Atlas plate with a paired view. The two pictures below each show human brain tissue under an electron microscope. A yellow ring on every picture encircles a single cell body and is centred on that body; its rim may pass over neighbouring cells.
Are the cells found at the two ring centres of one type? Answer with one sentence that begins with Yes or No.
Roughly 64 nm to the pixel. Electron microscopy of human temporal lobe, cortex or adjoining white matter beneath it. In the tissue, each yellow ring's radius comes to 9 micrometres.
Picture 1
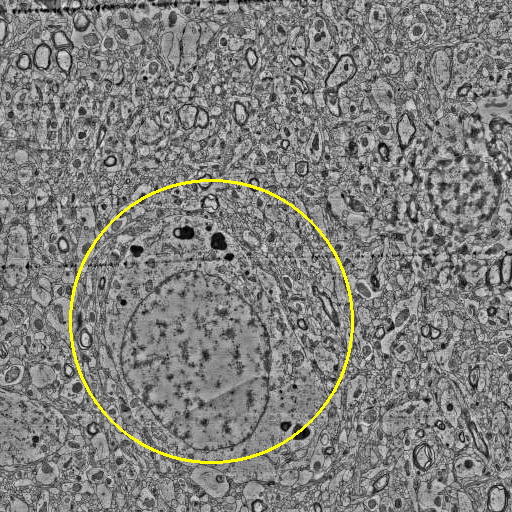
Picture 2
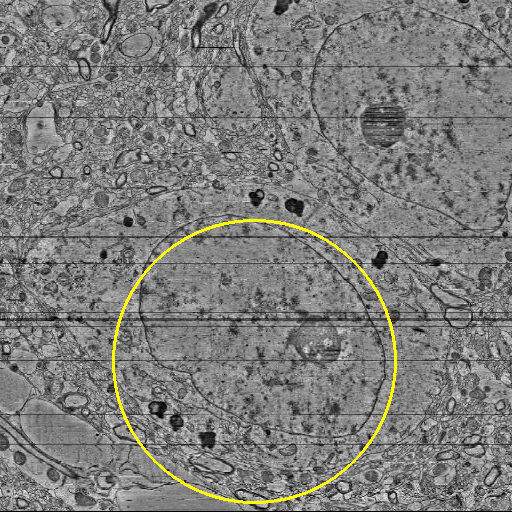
Yes, the two cells lying at the centres of the rings share a single type.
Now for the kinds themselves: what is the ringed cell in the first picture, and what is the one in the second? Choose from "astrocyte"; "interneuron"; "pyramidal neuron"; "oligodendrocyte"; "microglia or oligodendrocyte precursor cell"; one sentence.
In each of the two pictures, the ringed cell is a pyramidal neuron.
